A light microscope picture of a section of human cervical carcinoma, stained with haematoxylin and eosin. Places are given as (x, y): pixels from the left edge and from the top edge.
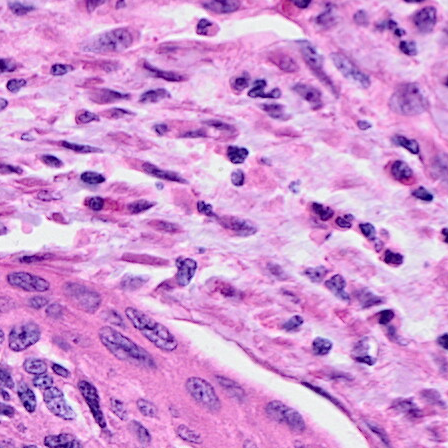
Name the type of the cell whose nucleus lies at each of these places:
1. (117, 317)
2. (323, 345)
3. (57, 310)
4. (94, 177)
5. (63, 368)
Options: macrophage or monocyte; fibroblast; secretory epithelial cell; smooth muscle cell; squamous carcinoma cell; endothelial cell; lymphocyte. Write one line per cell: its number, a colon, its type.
1: squamous carcinoma cell
2: lymphocyte
3: squamous carcinoma cell
4: lymphocyte
5: squamous carcinoma cell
